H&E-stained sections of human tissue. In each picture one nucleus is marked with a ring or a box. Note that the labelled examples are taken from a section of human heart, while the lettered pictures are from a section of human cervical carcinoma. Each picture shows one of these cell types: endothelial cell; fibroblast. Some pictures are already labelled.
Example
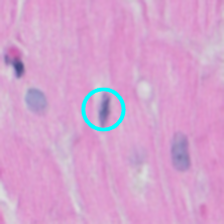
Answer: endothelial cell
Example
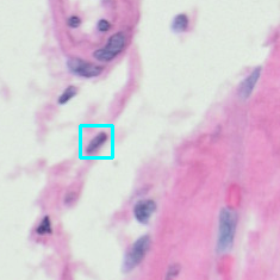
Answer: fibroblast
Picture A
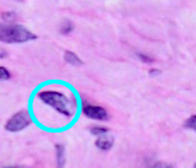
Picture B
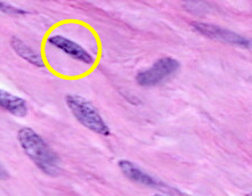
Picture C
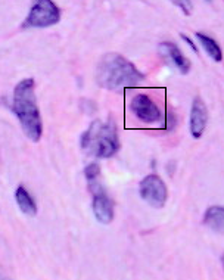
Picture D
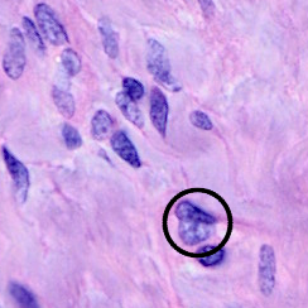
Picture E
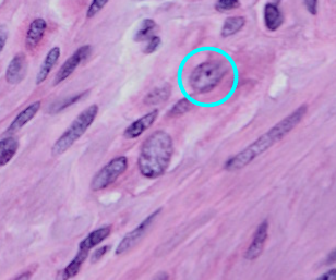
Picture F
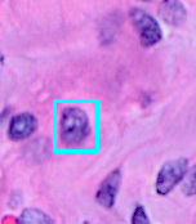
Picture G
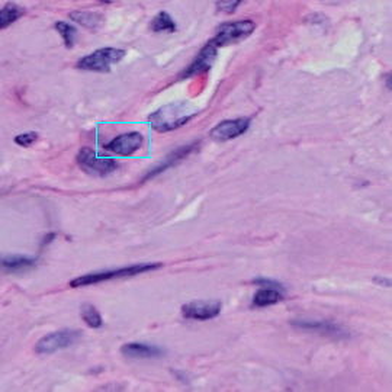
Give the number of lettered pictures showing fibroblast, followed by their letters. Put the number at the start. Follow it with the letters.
Count: 2 (A, B)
